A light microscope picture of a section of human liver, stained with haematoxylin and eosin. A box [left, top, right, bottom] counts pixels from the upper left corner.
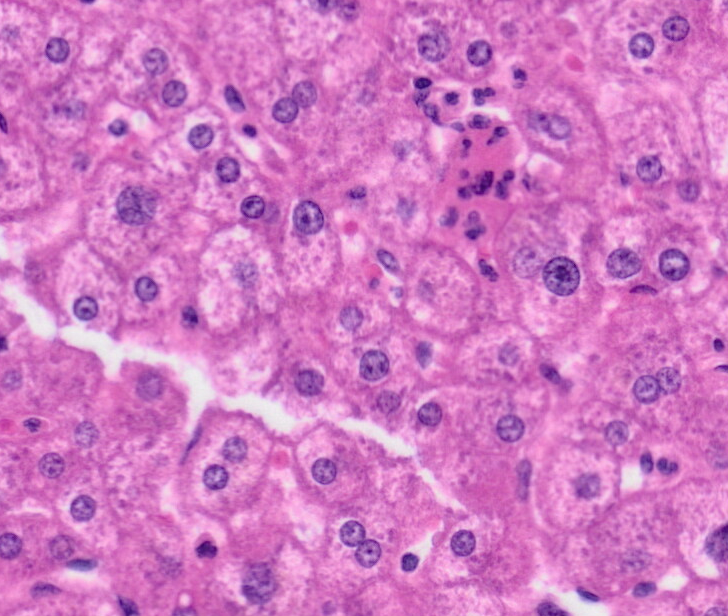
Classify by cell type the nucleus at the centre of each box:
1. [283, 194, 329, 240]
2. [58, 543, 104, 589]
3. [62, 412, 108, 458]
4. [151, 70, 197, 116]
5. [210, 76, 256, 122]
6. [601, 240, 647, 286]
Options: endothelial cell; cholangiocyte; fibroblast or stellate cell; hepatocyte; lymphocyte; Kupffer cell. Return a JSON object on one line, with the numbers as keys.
{"1": "hepatocyte", "2": "endothelial cell", "3": "hepatocyte", "4": "hepatocyte", "5": "endothelial cell", "6": "hepatocyte"}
